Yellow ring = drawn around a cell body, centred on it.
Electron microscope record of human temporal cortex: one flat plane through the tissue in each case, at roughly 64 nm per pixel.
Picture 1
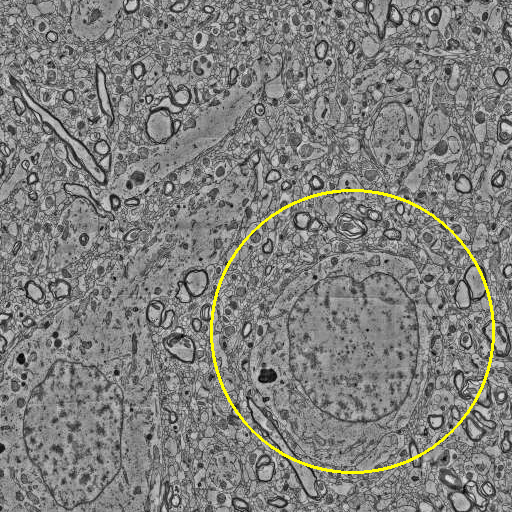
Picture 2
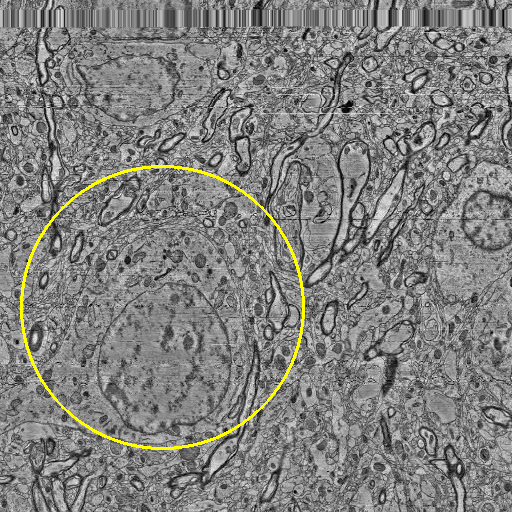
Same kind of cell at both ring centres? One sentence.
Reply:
Yes, they are the same kind of cell.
